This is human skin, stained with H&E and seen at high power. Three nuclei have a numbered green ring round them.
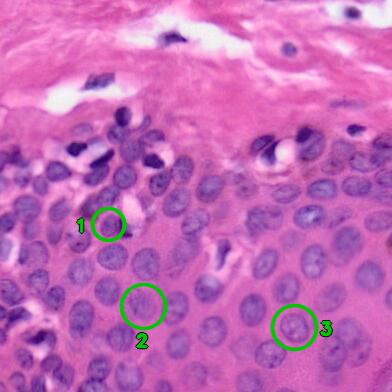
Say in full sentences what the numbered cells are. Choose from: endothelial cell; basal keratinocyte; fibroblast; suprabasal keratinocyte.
Cell 1 is a basal keratinocyte, cell 2 is a suprabasal keratinocyte and cell 3 is a suprabasal keratinocyte.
